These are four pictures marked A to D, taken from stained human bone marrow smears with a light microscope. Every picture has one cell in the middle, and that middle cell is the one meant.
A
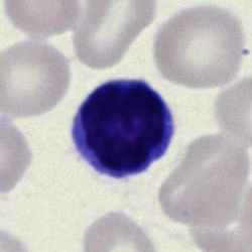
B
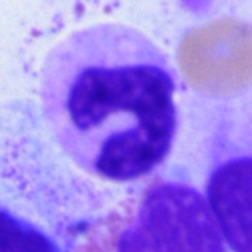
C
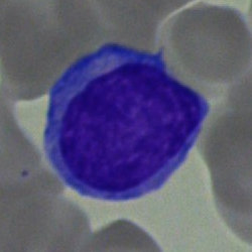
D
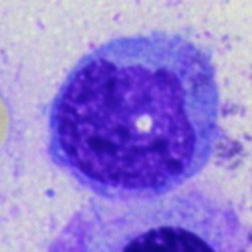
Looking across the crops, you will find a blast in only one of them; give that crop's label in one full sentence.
The cell identified as a blast is the one in crop C.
